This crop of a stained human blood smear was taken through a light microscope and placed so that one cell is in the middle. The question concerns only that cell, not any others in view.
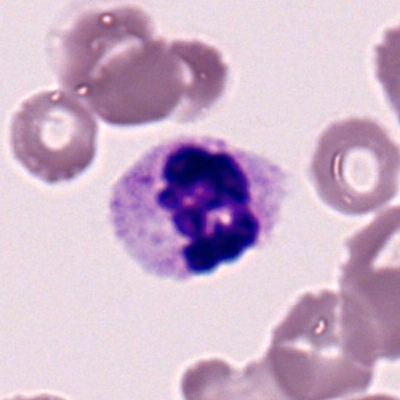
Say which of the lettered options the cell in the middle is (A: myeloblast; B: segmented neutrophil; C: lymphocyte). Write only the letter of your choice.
B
